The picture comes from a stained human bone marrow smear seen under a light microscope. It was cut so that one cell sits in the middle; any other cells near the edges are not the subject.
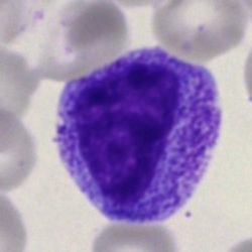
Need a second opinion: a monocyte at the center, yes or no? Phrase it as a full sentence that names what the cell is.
No, the central cell is not a monocyte; it is a myelocyte instead.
